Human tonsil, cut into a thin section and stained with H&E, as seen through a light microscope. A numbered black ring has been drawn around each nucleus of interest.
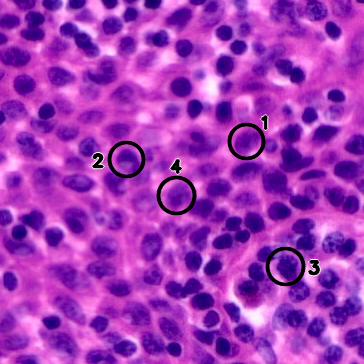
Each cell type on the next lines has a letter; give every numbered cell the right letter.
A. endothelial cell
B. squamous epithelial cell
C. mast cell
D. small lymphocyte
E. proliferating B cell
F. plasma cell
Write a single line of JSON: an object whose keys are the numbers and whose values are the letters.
{"1": "B", "2": "B", "3": "F", "4": "B"}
